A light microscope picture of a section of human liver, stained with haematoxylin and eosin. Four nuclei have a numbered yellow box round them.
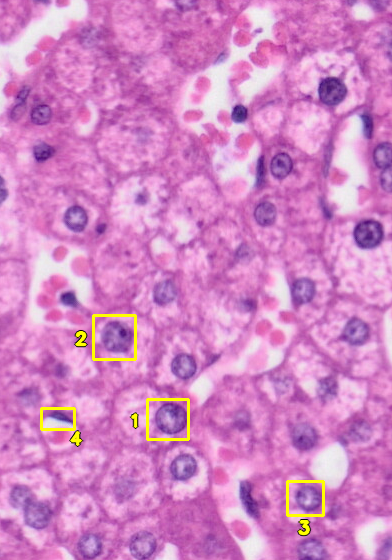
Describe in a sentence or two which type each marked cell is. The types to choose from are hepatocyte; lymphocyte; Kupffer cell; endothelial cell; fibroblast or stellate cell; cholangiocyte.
Cells 1, 2 and 3 are hepatocytes. Cell 4 is an endothelial cell.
